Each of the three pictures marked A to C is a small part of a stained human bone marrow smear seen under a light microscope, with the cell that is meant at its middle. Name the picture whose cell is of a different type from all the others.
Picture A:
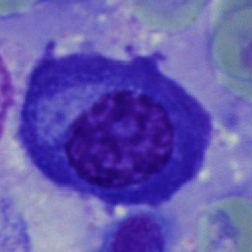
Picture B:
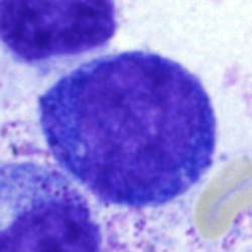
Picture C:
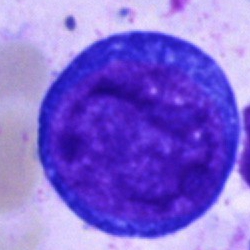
A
